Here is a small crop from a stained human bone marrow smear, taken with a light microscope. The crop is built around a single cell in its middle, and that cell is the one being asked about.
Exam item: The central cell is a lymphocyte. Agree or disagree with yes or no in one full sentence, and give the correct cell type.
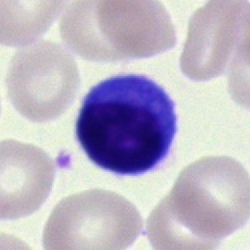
Yes, in the middle of the crop is a lymphocyte.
